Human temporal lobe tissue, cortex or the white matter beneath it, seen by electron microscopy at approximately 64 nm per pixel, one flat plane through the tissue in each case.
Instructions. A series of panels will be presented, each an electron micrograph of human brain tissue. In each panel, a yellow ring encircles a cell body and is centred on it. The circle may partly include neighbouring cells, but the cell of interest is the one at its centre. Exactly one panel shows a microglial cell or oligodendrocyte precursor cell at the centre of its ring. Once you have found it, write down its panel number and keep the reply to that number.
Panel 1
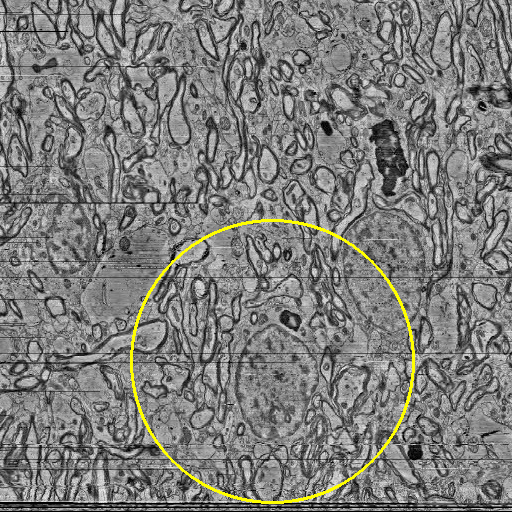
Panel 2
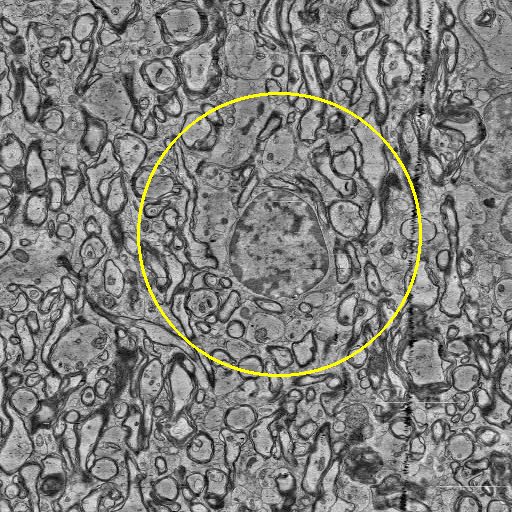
2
